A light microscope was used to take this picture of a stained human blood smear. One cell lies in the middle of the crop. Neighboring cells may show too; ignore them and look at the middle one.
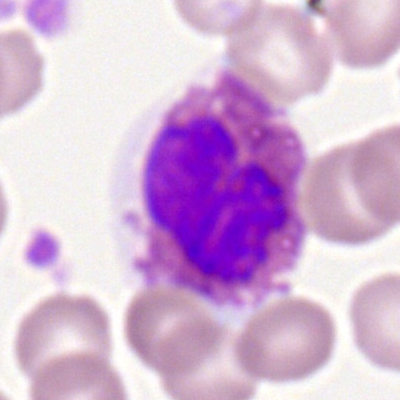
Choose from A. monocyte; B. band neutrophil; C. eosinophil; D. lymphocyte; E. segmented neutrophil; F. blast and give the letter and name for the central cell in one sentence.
It is an eosinophil that occupies the centre of the crop, so option C is correct.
